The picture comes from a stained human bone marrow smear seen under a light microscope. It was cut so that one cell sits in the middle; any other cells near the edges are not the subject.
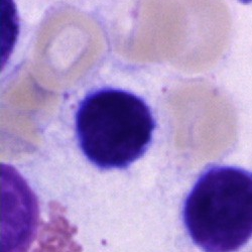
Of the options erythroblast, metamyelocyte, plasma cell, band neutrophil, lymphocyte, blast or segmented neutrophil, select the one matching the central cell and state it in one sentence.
The centrally located cell in the crop is a lymphocyte.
